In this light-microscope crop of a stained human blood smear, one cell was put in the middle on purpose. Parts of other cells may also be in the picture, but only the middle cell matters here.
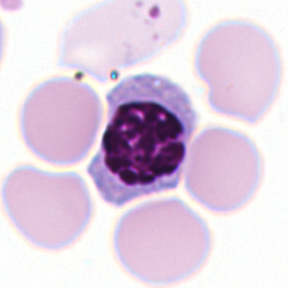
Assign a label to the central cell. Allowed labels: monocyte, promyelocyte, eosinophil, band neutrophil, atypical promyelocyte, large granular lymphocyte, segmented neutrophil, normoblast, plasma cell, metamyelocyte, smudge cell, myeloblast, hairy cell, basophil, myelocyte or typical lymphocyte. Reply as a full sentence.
The centered cell in this crop is a normoblast.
